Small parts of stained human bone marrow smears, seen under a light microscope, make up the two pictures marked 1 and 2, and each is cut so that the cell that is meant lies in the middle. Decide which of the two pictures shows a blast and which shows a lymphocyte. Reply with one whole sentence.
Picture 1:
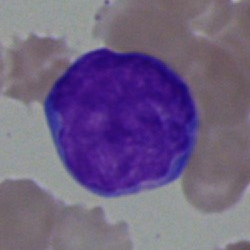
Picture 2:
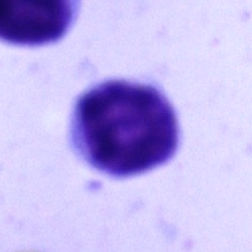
Picture 1 shows a blast and picture 2 shows a lymphocyte.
